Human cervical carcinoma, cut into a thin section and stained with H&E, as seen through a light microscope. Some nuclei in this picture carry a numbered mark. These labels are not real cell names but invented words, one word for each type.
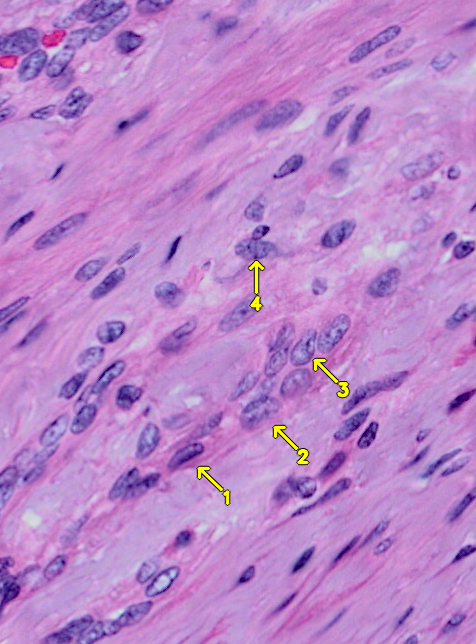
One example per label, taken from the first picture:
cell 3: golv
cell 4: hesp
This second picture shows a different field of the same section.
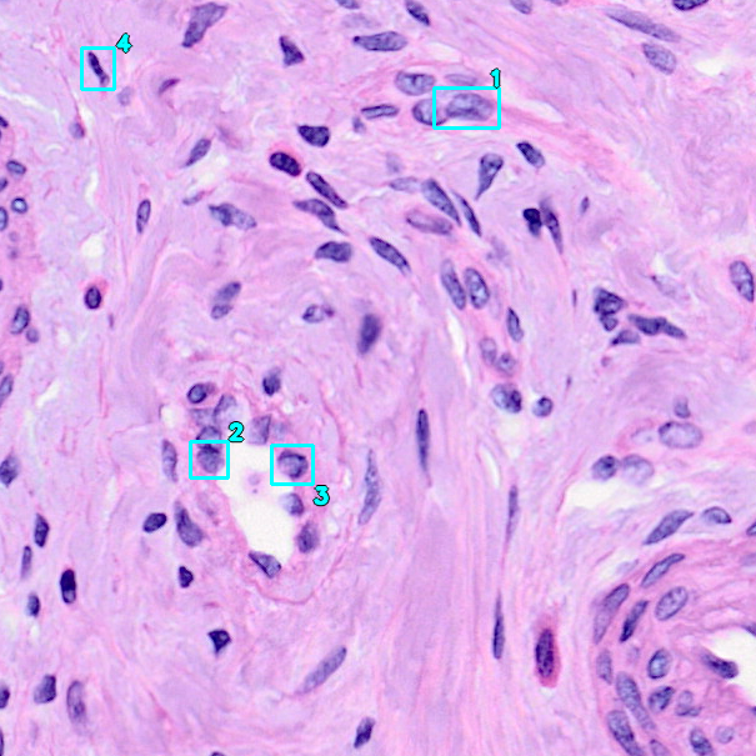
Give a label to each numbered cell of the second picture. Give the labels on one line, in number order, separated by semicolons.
golv; golv; golv; hesp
